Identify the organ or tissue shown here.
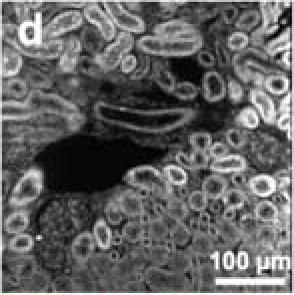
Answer: Kidney.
